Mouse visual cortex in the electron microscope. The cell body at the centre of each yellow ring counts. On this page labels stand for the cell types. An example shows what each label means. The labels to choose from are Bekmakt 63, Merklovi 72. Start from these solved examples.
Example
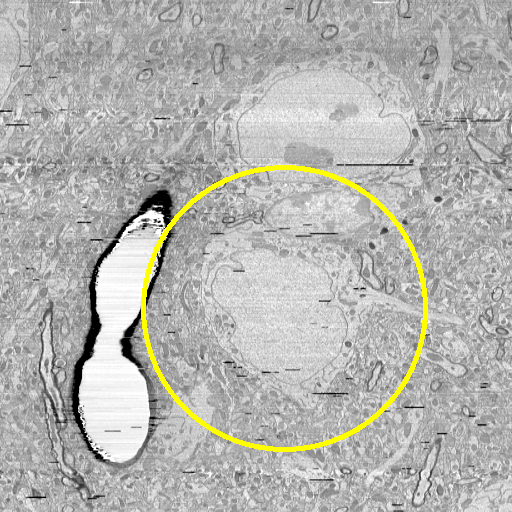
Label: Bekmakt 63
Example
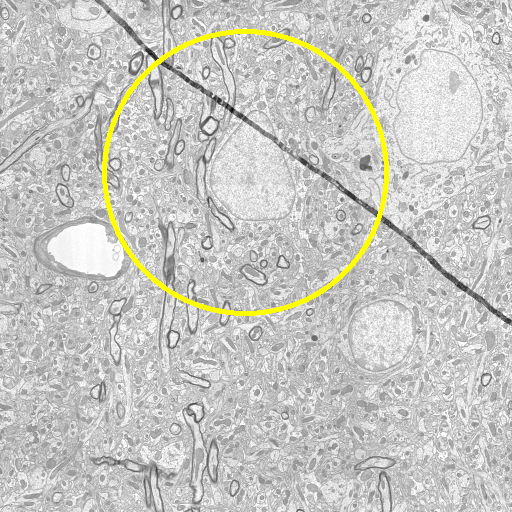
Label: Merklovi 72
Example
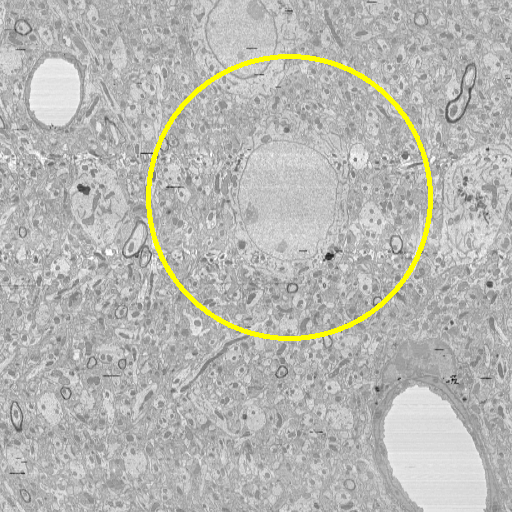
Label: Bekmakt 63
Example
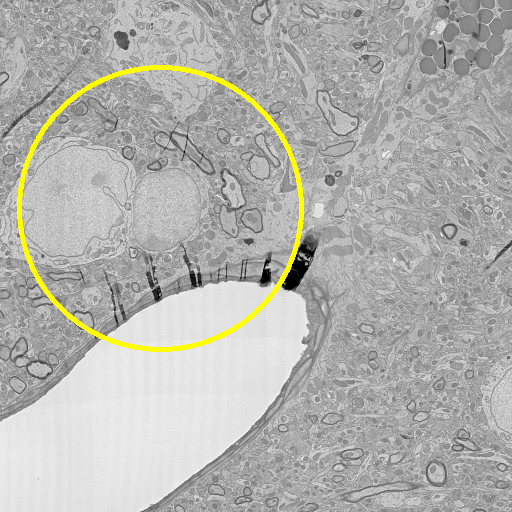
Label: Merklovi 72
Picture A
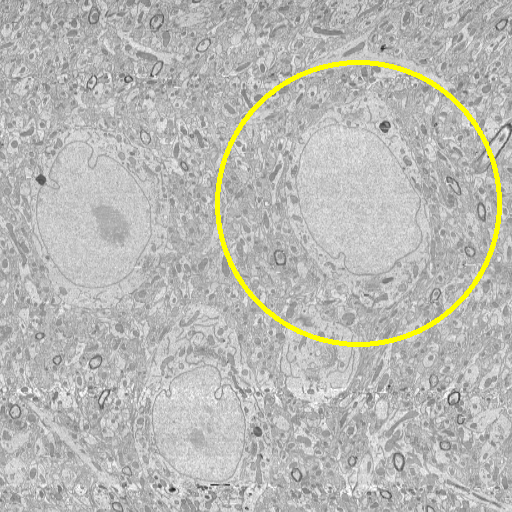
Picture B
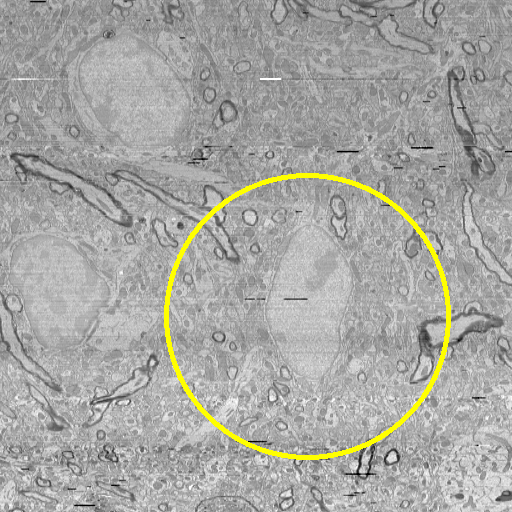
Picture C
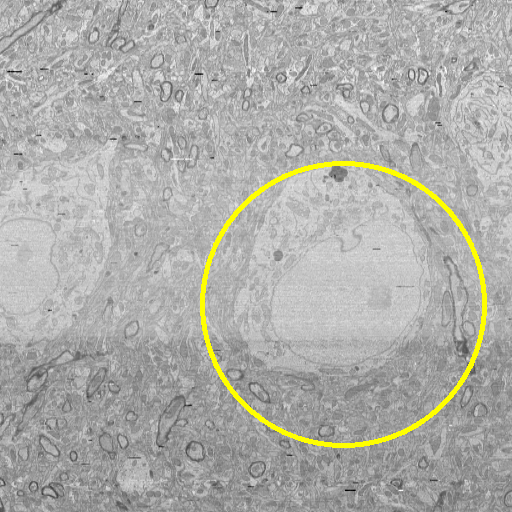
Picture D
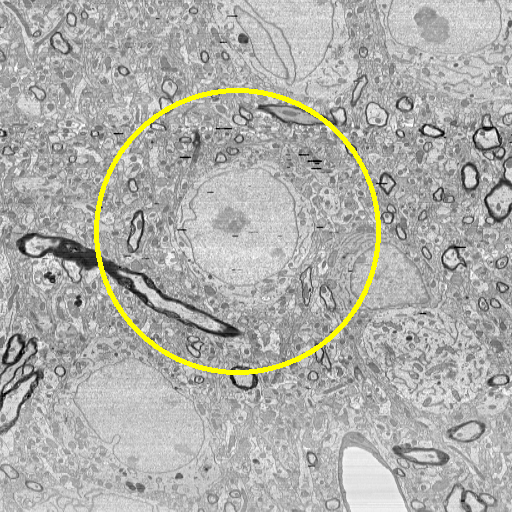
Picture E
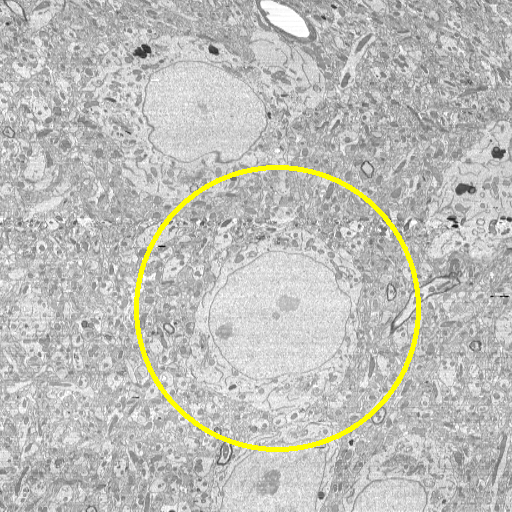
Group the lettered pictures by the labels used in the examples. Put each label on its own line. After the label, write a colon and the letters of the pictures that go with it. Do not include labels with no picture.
Bekmakt 63: A, C, D, E
Merklovi 72: B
